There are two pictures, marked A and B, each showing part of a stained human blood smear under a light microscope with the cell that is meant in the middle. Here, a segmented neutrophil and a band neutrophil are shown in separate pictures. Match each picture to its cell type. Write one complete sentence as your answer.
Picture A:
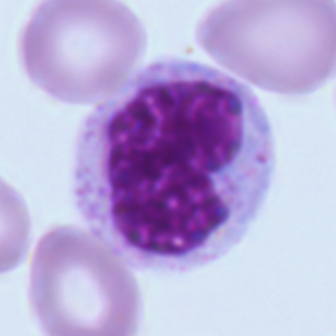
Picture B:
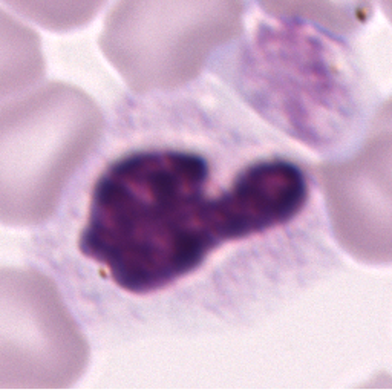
Picture B shows a segmented neutrophil, while picture A shows a band neutrophil.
